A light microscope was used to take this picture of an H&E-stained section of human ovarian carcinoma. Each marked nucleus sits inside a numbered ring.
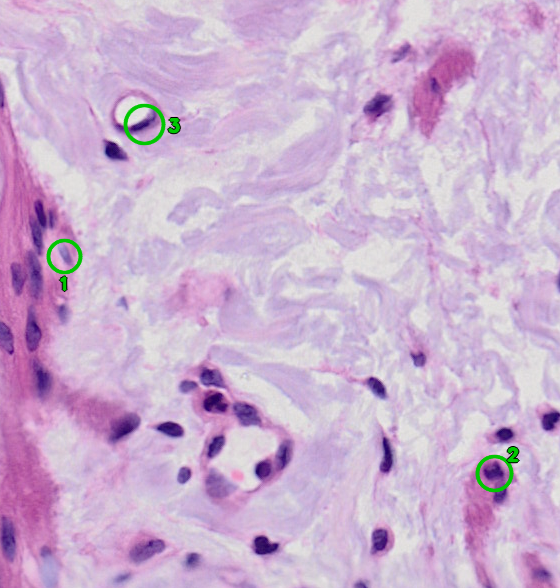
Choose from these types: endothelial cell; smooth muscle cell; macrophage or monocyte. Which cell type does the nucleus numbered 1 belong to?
smooth muscle cell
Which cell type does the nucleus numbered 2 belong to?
smooth muscle cell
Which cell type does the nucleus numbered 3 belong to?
endothelial cell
